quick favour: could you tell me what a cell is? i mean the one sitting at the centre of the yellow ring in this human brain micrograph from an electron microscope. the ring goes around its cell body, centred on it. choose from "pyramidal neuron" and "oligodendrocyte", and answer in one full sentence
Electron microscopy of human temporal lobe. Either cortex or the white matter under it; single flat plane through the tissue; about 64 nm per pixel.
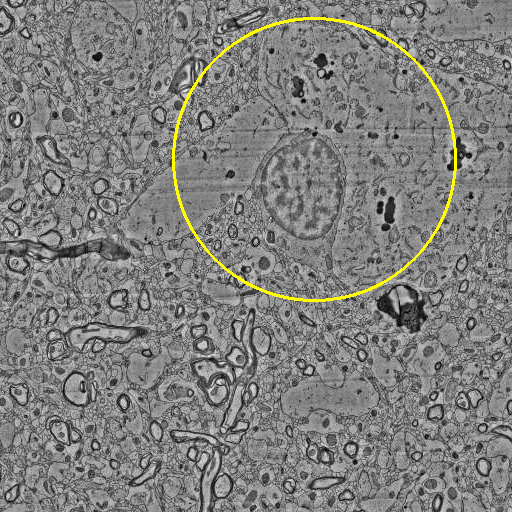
That's an oligodendrocyte, the cell sitting at the centre of the yellow ring.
